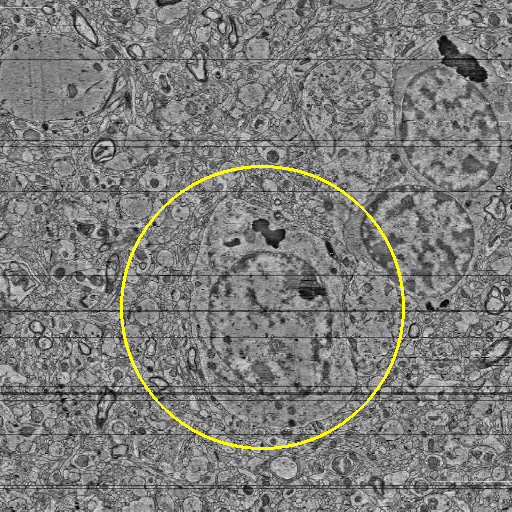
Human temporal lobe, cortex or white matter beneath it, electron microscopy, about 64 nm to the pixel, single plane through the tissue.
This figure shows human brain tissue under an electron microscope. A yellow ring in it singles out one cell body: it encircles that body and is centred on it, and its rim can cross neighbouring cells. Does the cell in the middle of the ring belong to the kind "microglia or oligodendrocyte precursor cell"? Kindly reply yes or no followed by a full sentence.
No, the cell centred in the figure's ring belongs to a different kind from the one asked.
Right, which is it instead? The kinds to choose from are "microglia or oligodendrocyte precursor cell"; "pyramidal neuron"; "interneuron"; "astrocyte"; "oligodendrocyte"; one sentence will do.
The cell in the ring is an interneuron instead.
